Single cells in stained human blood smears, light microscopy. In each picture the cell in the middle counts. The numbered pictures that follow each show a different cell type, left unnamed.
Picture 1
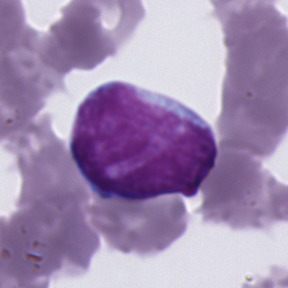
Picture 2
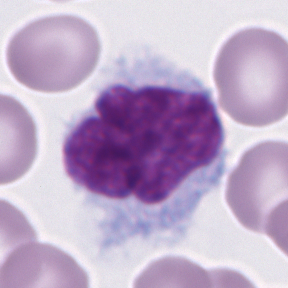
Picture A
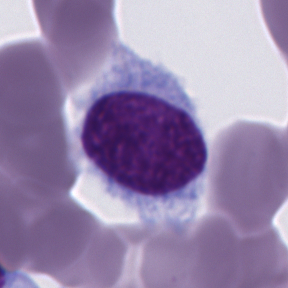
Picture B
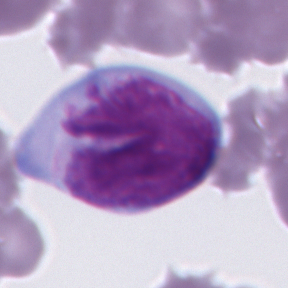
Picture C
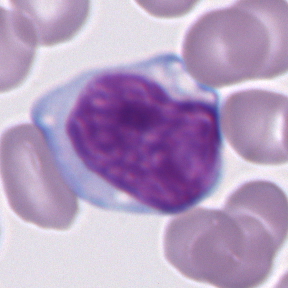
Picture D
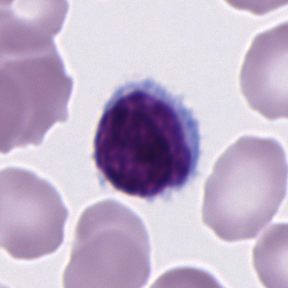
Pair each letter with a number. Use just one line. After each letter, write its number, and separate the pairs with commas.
A 2, B 1, C 1, D 2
